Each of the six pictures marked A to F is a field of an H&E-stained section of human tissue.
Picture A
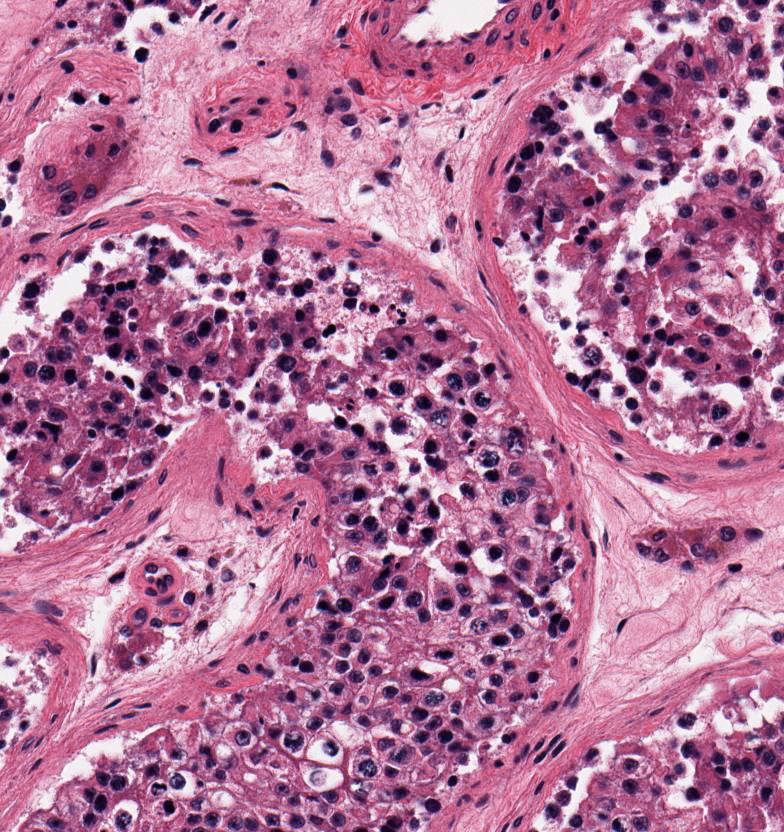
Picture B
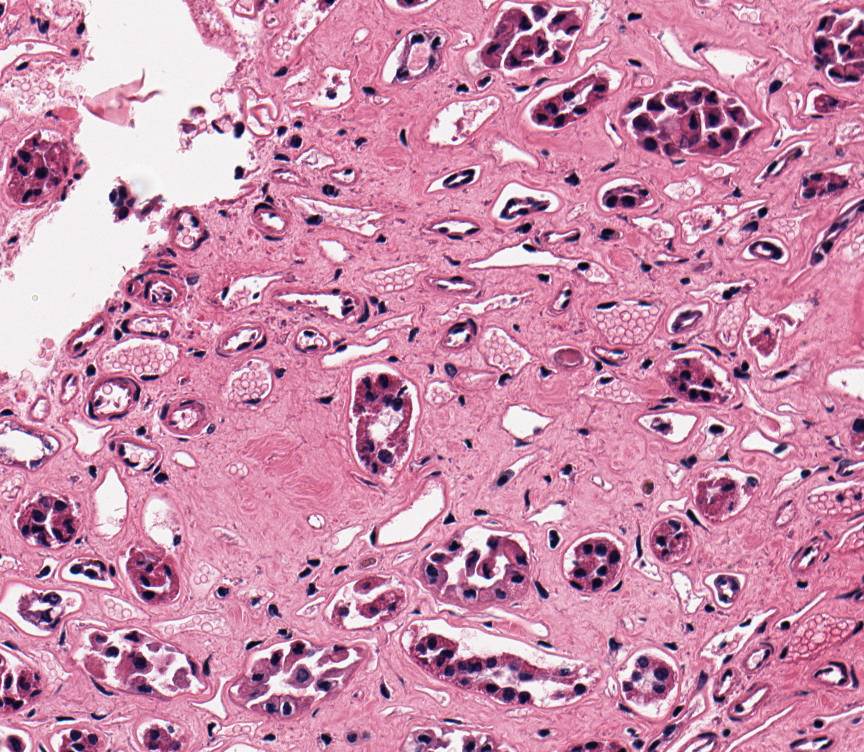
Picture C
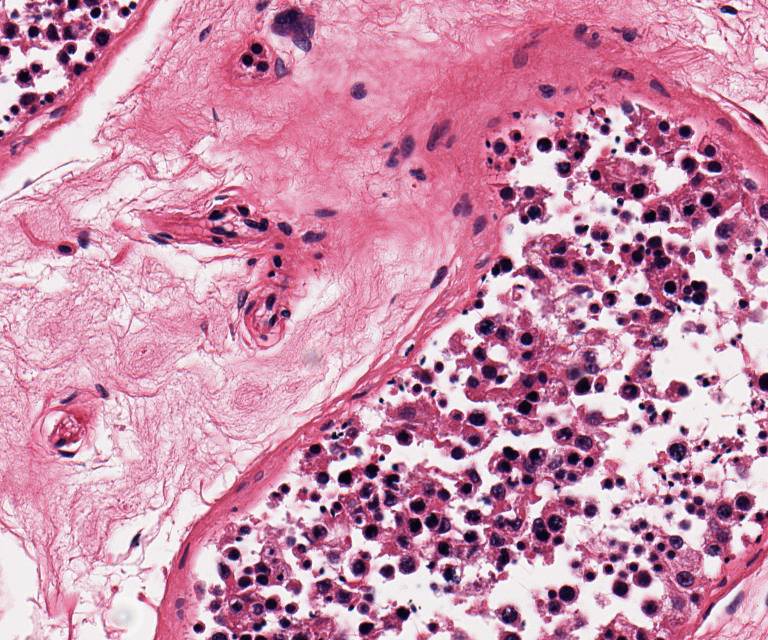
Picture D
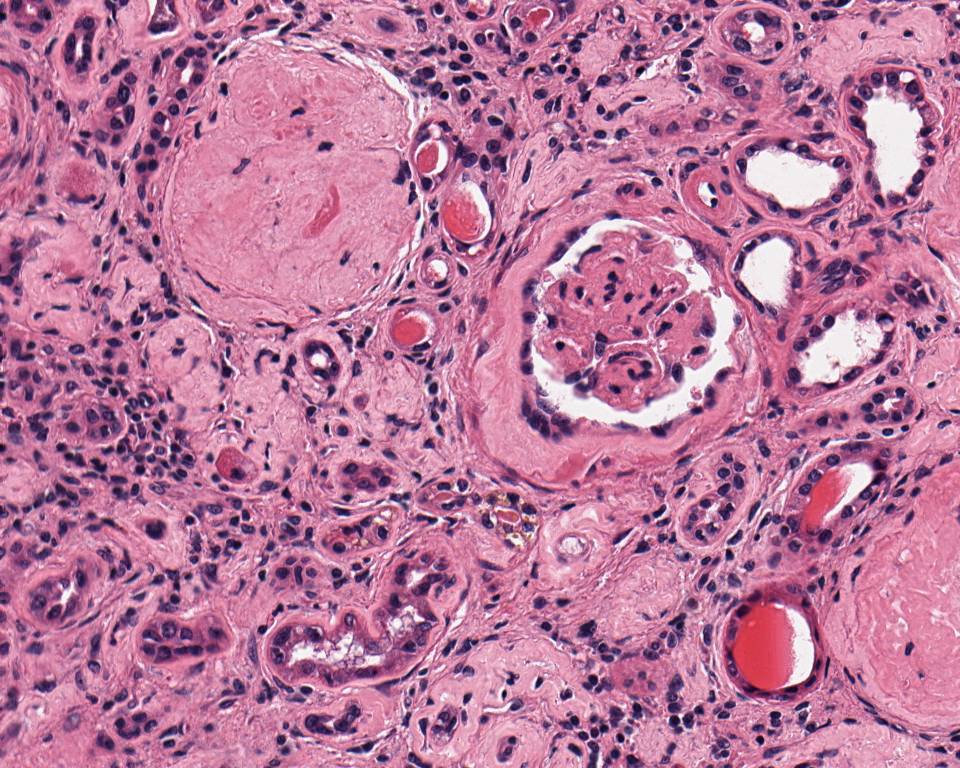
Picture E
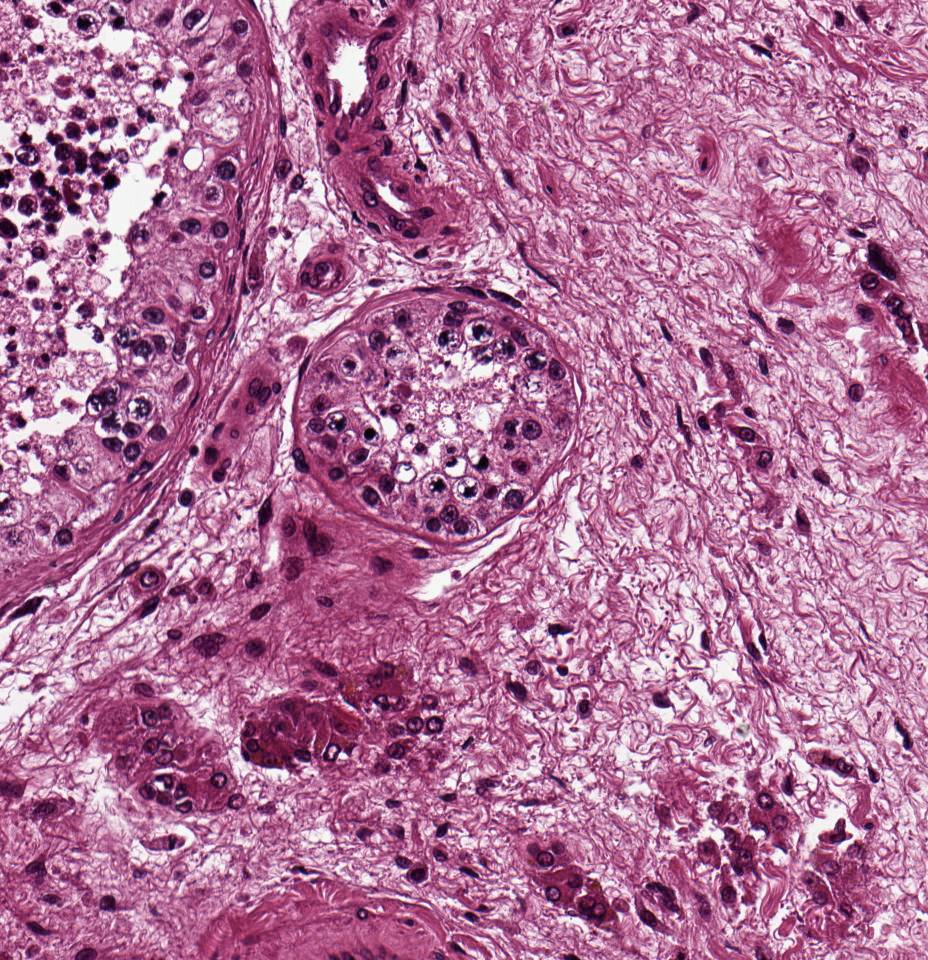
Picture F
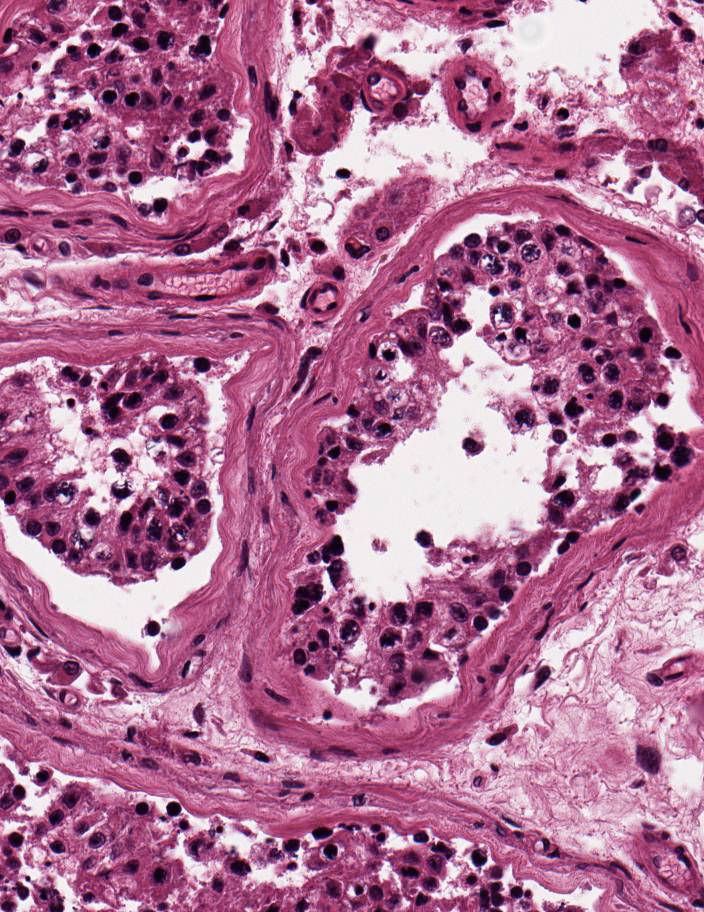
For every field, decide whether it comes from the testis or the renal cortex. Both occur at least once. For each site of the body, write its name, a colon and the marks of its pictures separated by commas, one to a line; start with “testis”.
testis: A, C, E, F
renal cortex: B, D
